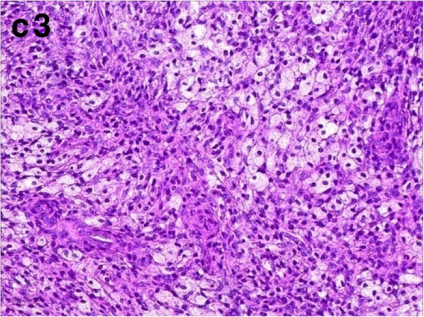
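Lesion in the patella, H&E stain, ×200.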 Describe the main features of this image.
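This field shows a sheet of mononuclear cells mixed with foam cells. The mononuclear cells are small, round to spindled, with little pink cytoplasm and dark nuclei, packed closely together. Scattered among them, especially in the upper right, are larger foam cells with abundant pale, clear, bubbly cytoplasm. The nuclei look fairly uniform, without obvious mitoses or marked atypia.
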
